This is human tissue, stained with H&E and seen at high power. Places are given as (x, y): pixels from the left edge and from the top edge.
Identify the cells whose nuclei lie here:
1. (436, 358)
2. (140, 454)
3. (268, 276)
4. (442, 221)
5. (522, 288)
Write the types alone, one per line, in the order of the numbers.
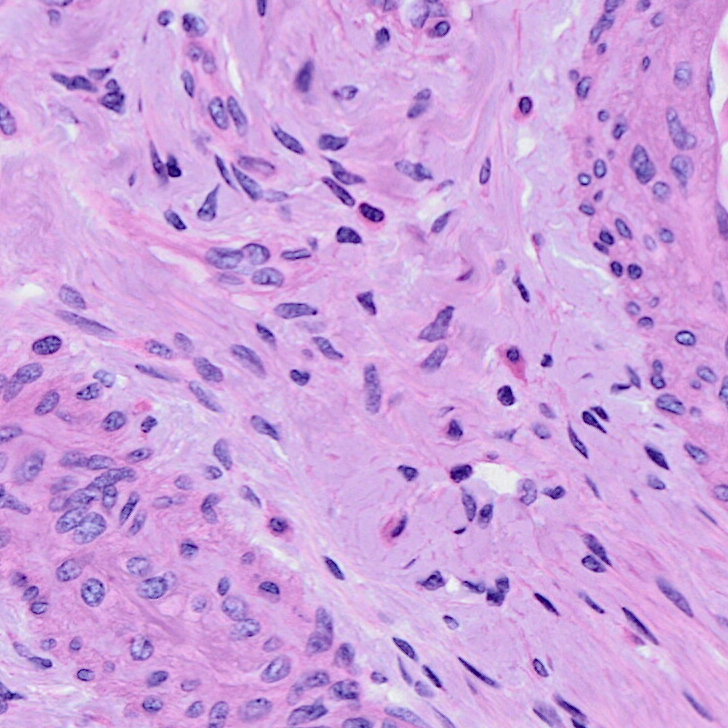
fibroblast
smooth muscle cell
endothelial cell
fibroblast
fibroblast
